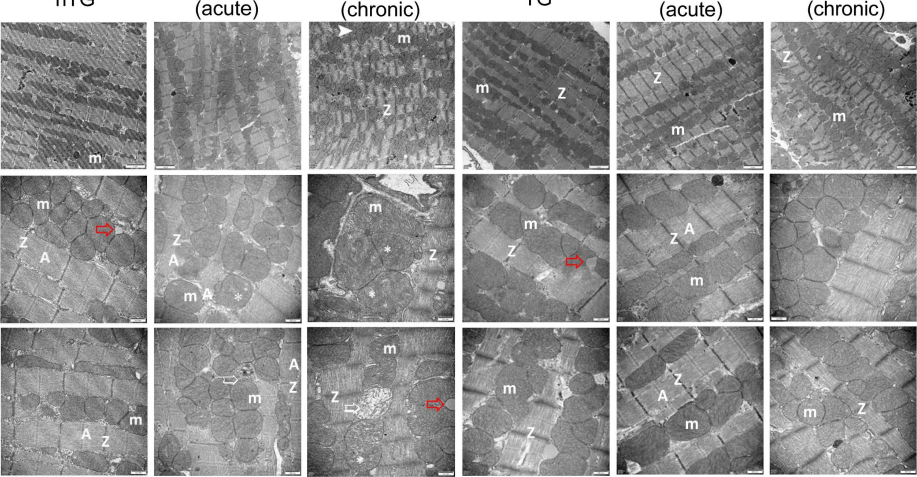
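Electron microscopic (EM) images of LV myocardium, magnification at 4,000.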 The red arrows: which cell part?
Lipid droplet.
